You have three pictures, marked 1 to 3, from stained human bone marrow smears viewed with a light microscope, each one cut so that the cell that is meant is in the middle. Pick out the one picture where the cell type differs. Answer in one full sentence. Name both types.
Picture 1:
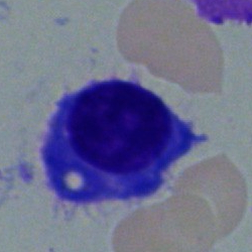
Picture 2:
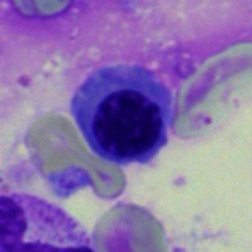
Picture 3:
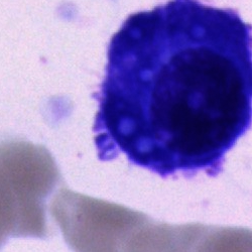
Picture 2 is the odd one out: it shows an erythroblast, while the others show plasma cells.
